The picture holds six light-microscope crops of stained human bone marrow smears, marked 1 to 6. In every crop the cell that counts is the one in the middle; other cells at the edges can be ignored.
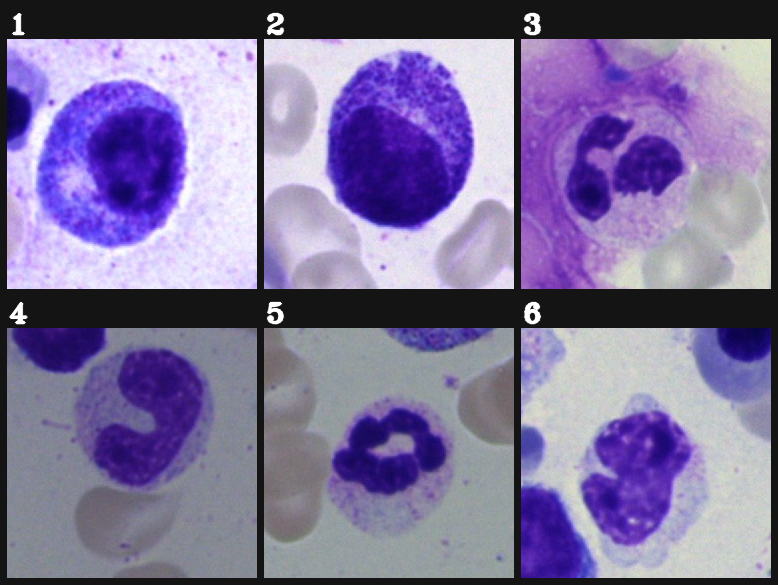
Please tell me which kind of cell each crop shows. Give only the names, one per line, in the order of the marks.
promyelocyte
promyelocyte
segmented neutrophil
band neutrophil
segmented neutrophil
band neutrophil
